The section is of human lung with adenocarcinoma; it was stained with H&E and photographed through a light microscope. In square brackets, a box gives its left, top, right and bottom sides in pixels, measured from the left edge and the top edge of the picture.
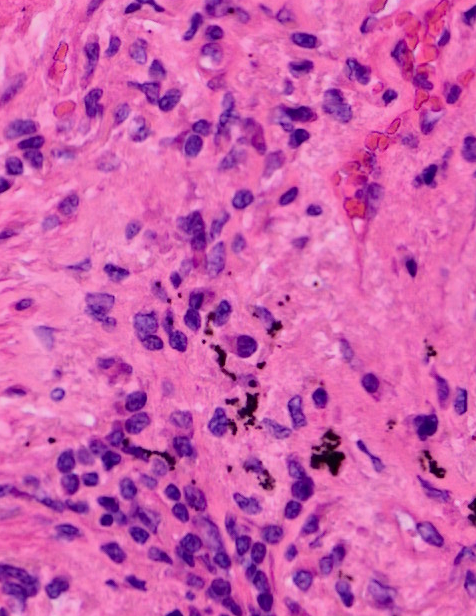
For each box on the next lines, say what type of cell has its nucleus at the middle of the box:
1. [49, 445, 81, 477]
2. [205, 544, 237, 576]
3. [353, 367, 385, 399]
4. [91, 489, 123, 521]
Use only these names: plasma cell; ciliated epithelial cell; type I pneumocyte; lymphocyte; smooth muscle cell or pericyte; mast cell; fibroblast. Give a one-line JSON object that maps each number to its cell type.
{"1": "lymphocyte", "2": "lymphocyte", "3": "plasma cell", "4": "lymphocyte"}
